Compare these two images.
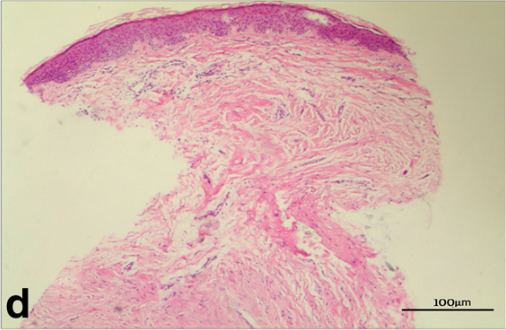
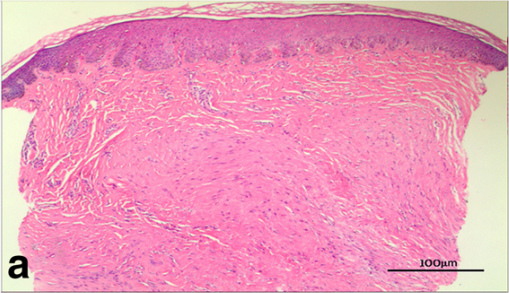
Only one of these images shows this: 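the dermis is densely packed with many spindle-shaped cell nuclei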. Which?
the second image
